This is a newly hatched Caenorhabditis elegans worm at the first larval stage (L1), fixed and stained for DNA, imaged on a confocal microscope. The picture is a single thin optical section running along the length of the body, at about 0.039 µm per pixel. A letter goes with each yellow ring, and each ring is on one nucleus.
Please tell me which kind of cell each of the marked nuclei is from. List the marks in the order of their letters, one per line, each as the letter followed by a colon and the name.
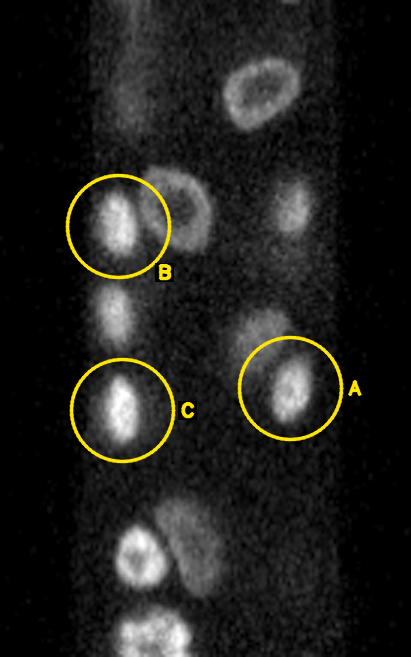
A: body wall muscle cell
B: neuron
C: neuron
